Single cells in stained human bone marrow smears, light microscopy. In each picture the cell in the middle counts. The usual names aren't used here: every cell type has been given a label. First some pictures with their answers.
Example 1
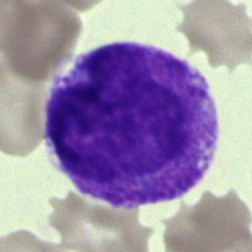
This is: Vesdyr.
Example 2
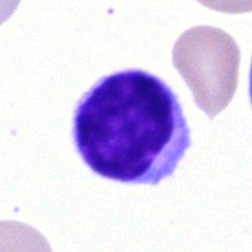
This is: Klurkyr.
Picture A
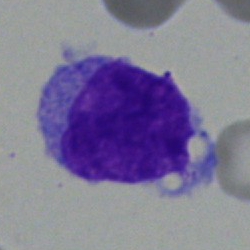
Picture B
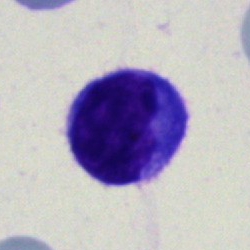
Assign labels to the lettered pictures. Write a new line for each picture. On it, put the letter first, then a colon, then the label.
A: Vesdyr.
B: Klurkyr.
